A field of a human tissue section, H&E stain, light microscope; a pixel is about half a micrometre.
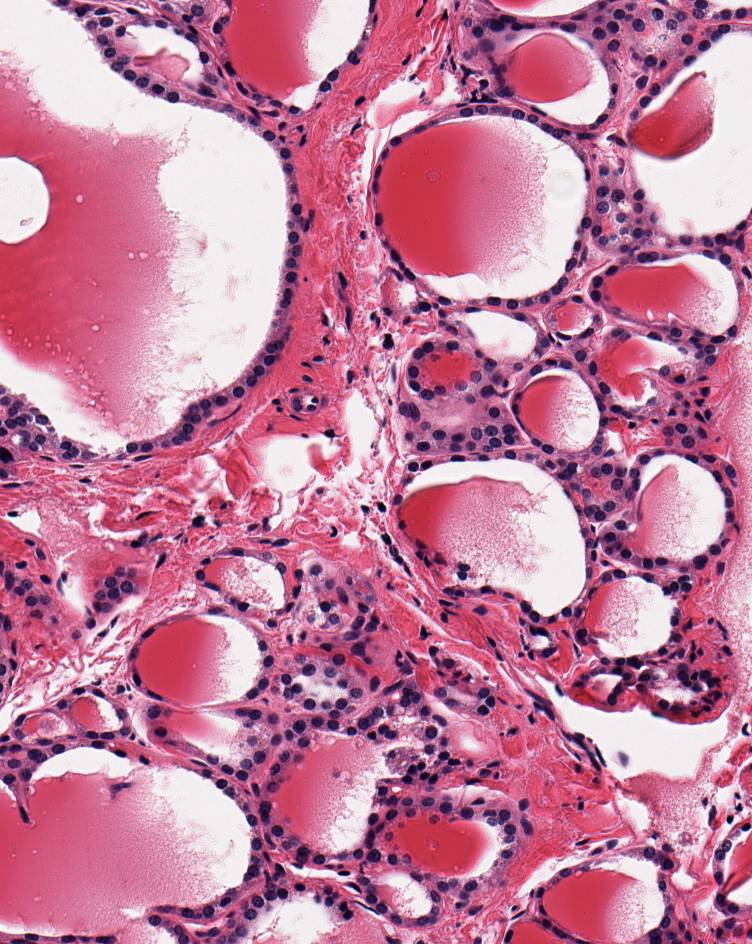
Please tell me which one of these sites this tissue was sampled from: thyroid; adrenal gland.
thyroid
